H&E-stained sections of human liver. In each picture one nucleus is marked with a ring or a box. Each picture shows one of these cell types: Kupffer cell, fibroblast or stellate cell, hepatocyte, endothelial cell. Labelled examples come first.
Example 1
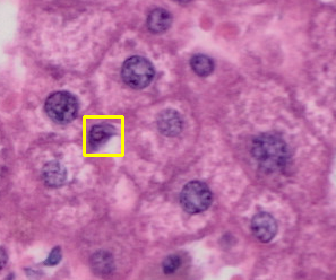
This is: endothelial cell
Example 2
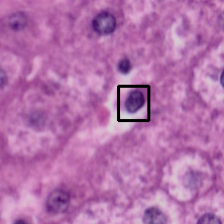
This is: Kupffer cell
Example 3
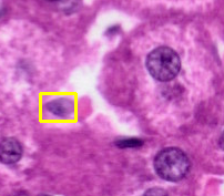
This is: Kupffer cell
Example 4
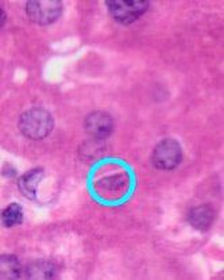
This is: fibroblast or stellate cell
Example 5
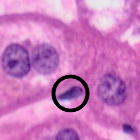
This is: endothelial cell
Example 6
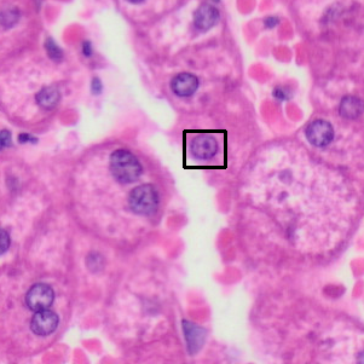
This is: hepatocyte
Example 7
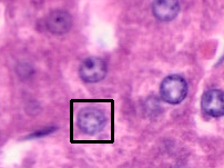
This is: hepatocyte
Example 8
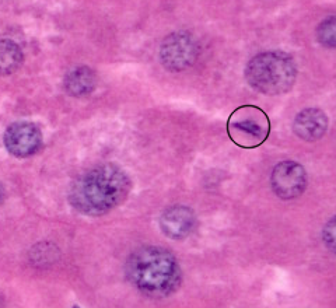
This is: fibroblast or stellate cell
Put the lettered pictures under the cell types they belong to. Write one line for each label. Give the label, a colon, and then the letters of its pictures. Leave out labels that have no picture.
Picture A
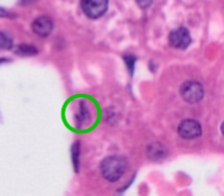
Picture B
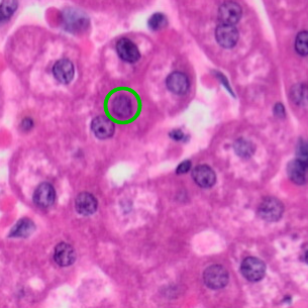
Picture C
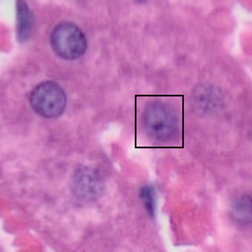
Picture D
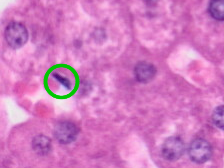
fibroblast or stellate cell: A
hepatocyte: B, C
endothelial cell: D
